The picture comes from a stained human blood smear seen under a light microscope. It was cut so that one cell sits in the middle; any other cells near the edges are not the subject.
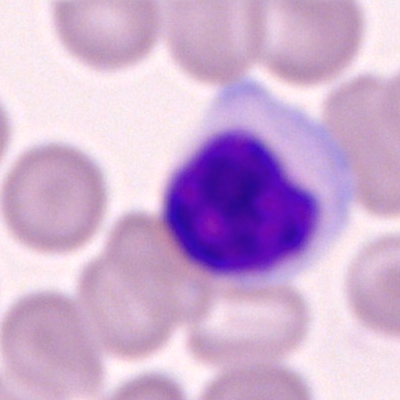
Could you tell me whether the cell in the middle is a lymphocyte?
yes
